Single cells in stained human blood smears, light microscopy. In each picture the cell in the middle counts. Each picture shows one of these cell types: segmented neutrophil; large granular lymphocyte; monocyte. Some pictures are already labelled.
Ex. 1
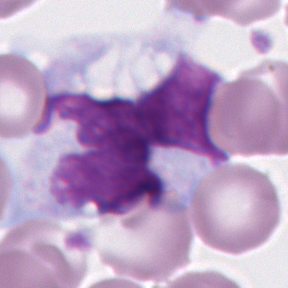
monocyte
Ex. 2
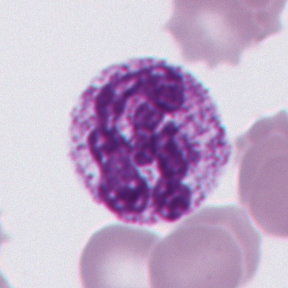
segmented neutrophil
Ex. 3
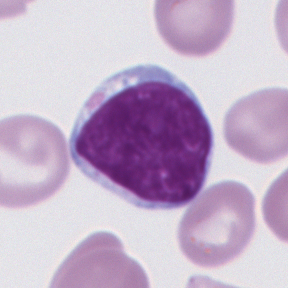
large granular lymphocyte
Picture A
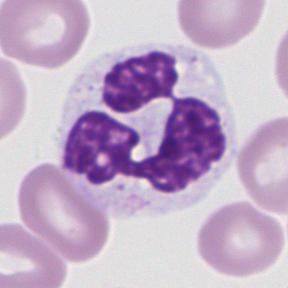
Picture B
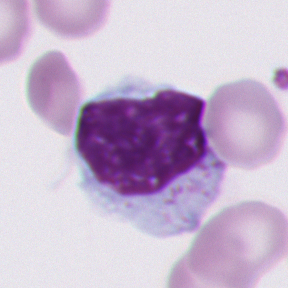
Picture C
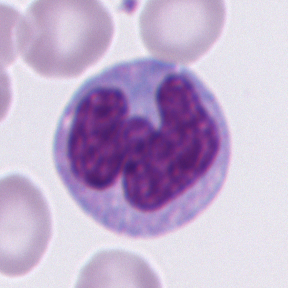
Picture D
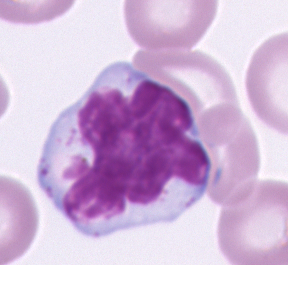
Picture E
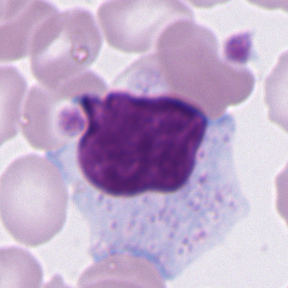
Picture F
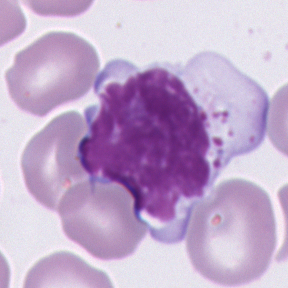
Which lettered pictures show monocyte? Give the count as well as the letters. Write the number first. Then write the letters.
1: C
